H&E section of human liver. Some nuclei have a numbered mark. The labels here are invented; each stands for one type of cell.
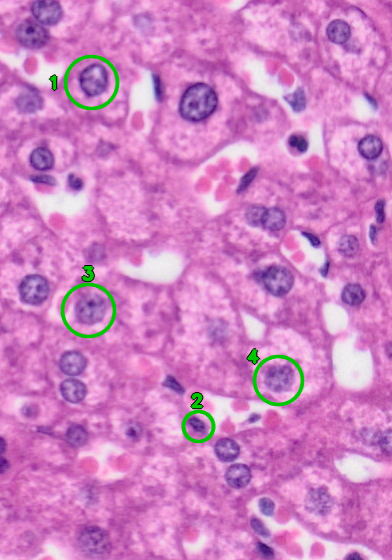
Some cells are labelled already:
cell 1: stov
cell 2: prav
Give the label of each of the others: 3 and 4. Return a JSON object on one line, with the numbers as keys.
{"3": "stov", "4": "stov"}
